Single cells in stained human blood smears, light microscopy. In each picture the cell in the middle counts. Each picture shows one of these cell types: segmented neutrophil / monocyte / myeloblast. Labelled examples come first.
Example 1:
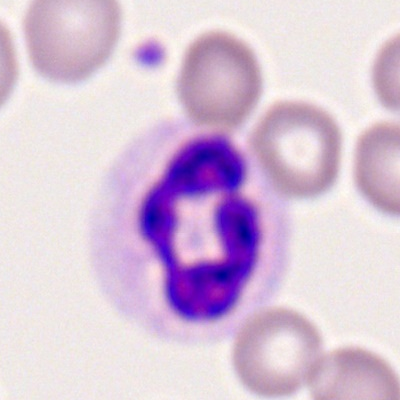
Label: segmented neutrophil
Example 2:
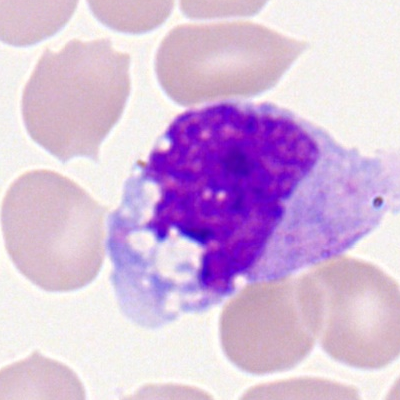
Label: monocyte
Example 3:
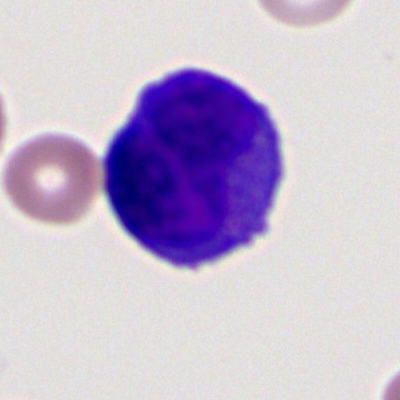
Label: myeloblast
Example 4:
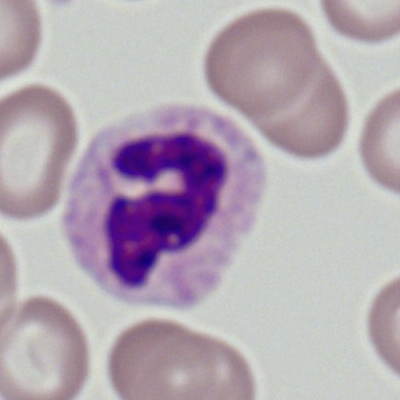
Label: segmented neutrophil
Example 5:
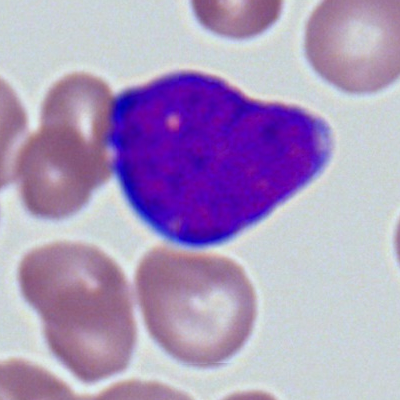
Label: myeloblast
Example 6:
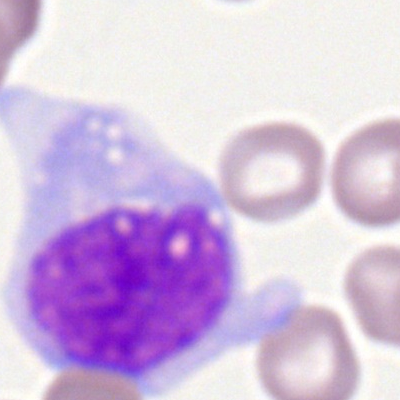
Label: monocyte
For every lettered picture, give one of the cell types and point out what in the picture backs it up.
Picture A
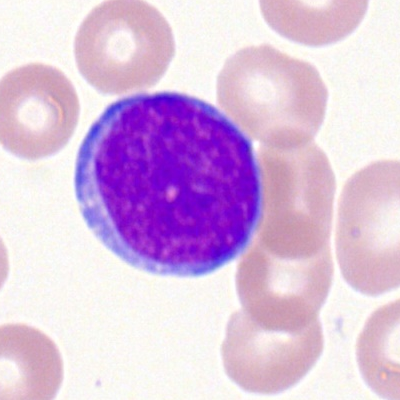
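myeloblast. Evidence: The cytoplasm is a thin rim that is widest on the left side of the cell.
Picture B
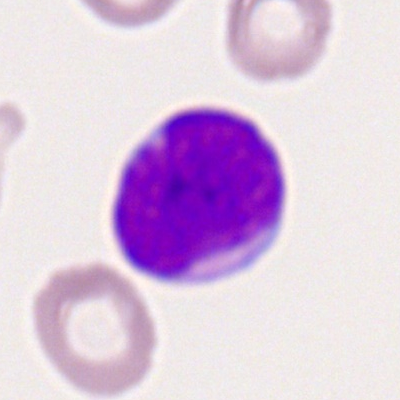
myeloblast. Evidence: The nucleus fills almost the whole cell.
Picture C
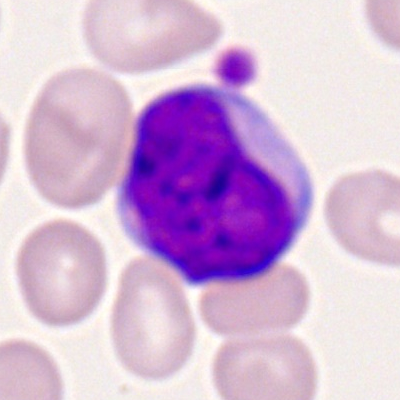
myeloblast. Evidence: The cytoplasm is scant and pale blue.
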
